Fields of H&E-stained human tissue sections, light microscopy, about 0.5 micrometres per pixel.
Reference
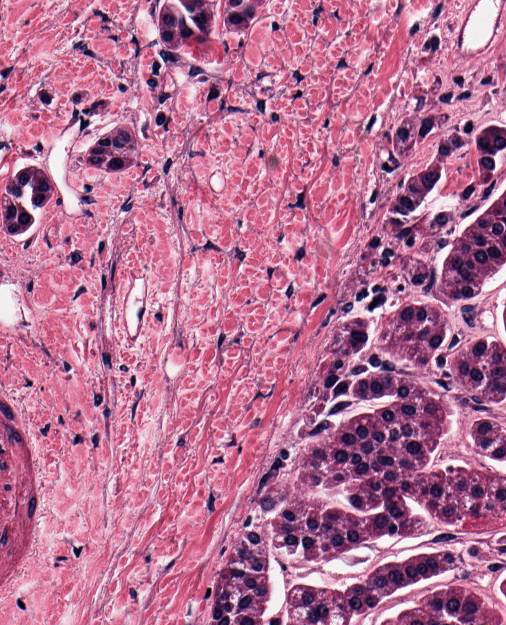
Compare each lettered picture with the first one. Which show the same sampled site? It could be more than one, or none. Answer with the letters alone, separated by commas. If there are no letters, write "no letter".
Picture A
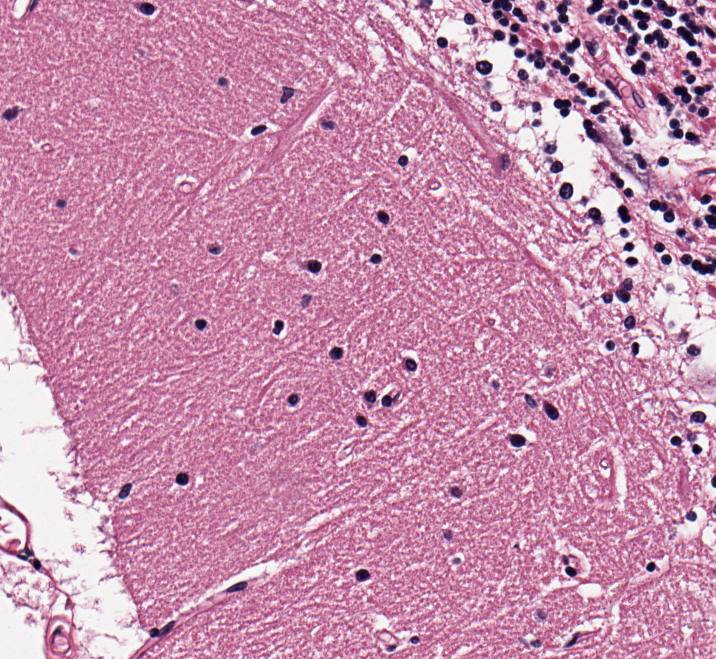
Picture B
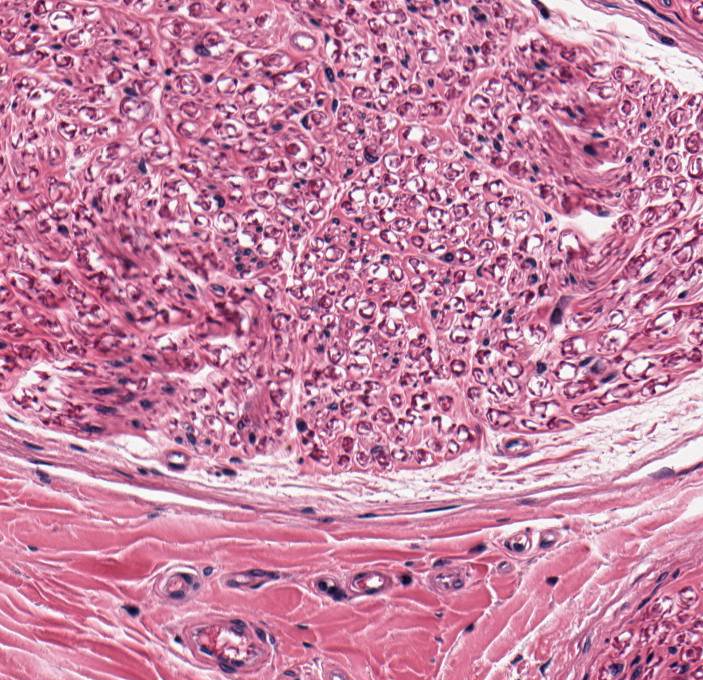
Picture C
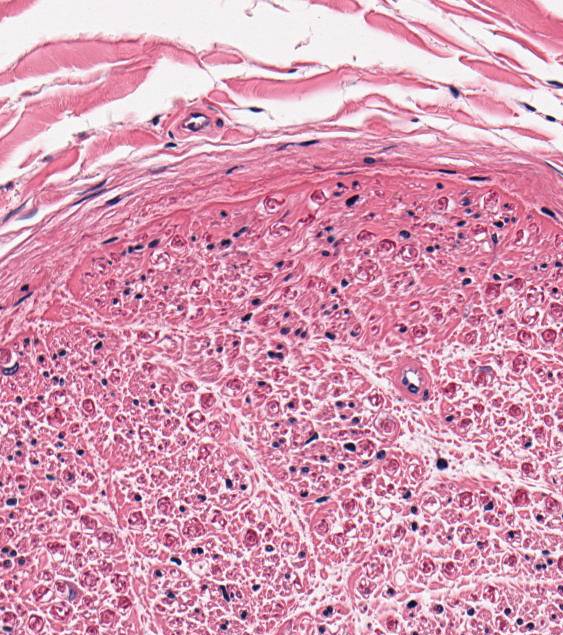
no letter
